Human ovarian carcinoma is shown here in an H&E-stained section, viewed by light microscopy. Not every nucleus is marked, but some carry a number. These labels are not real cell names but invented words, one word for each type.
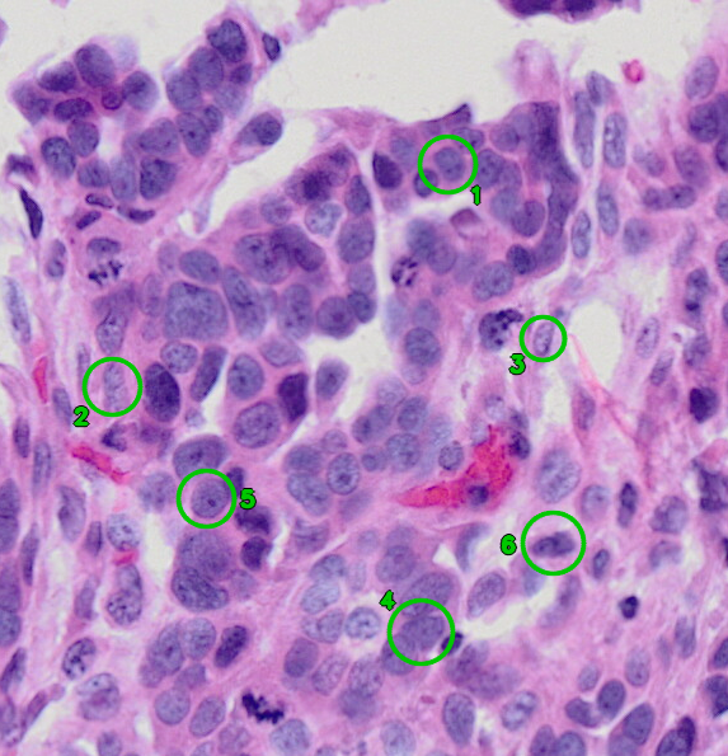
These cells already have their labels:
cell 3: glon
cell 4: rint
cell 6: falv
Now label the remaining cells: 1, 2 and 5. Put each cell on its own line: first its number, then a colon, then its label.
1: rint
2: glon
5: rint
